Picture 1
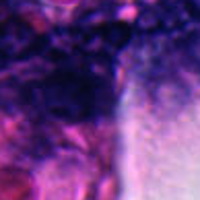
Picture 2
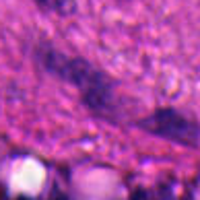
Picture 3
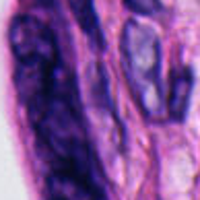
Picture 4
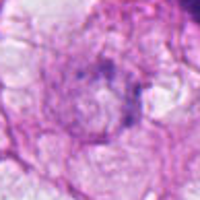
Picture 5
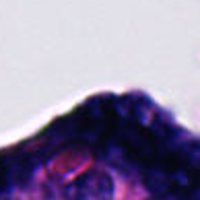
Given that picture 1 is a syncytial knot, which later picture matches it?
5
